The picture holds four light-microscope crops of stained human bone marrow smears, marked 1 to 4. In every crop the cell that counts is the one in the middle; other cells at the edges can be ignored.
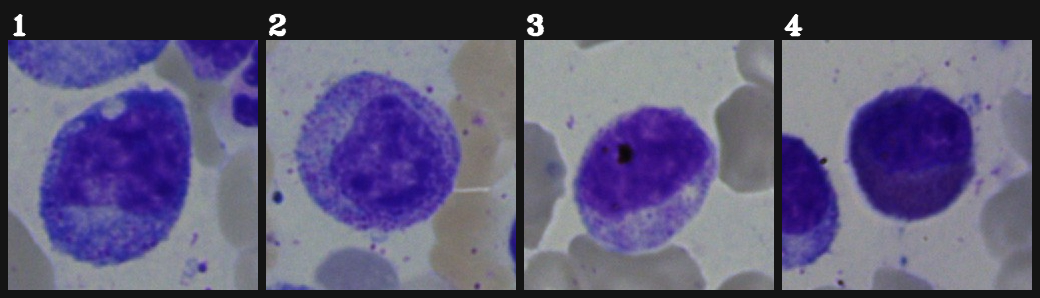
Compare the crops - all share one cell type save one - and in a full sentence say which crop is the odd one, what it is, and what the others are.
Here the outlier is crop 4, which is an eosinophil, and the rest are myelocytes.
